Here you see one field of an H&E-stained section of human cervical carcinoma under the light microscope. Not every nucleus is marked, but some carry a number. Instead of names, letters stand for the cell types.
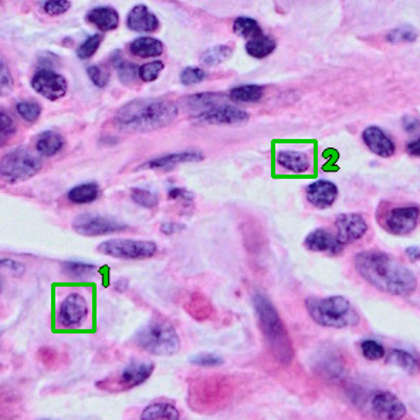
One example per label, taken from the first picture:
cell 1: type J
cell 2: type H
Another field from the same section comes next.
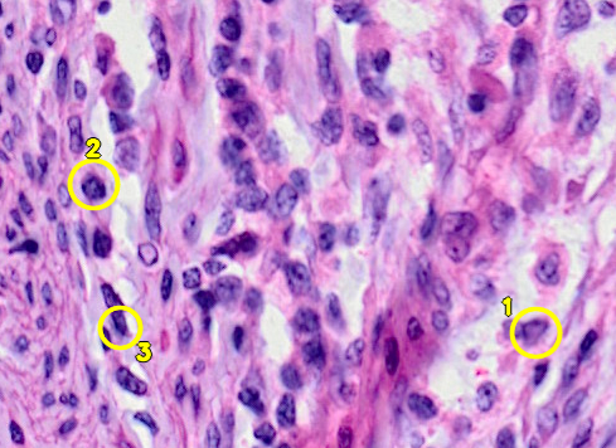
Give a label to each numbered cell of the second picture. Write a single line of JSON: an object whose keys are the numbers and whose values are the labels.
{"1": "type J", "2": "type H", "3": "type H"}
